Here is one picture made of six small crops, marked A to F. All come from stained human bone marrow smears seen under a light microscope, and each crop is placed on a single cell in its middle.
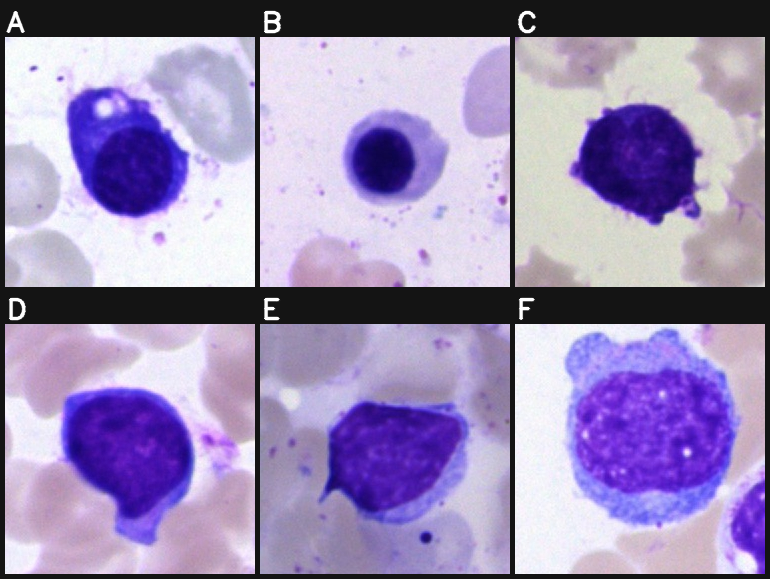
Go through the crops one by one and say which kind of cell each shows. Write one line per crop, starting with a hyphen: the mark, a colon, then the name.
- A: plasma cell
- B: erythroblast
- C: blast
- D: blast
- E: lymphocyte
- F: blast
